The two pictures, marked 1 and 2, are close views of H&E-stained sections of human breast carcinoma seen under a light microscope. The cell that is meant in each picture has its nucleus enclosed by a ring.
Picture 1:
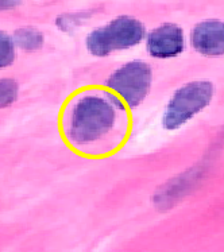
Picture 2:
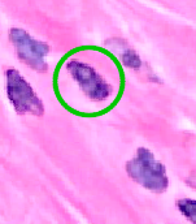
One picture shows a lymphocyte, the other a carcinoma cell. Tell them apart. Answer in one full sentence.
Picture 2 shows a lymphocyte, while picture 1 shows a carcinoma cell.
